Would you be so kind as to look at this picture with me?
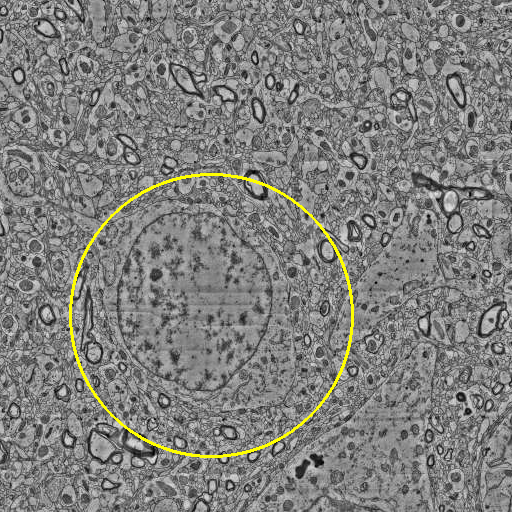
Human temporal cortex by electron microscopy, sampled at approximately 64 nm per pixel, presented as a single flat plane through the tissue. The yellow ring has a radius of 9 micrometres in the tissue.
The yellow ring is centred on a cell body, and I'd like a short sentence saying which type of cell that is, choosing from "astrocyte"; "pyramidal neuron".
The cell body in the ring belongs to a pyramidal neuron.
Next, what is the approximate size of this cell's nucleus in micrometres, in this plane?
In this plane, roughly 12 by 10 micrometres.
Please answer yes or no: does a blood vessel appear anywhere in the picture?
No.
